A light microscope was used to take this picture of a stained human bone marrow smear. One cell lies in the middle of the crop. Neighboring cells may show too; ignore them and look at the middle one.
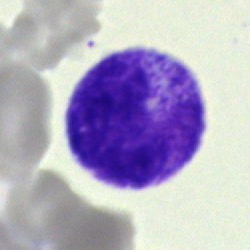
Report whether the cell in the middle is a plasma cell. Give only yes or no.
no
